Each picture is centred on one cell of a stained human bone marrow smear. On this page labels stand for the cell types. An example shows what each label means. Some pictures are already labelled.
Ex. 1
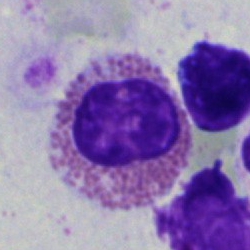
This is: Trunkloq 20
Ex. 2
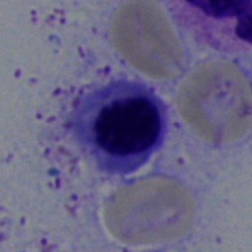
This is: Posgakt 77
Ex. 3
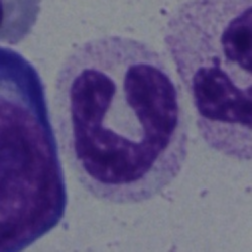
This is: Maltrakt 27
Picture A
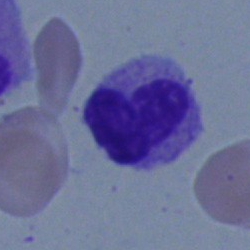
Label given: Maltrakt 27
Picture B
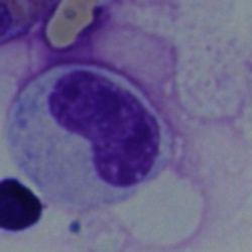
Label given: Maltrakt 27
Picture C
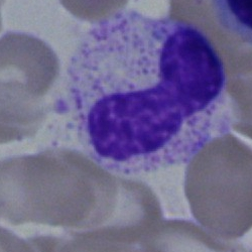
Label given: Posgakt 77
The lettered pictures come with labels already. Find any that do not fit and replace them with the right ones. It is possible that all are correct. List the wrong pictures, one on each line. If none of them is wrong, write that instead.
C should be Maltrakt 27, not Posgakt 77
